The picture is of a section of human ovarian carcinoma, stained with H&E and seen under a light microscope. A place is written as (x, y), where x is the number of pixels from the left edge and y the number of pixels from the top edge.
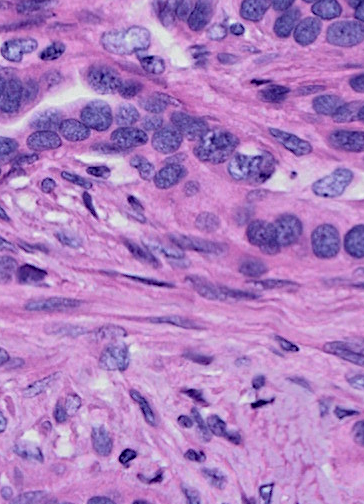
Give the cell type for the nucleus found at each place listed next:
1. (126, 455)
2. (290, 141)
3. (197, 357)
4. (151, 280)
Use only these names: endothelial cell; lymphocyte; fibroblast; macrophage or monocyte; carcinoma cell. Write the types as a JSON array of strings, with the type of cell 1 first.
["lymphocyte", "fibroblast", "fibroblast", "fibroblast"]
